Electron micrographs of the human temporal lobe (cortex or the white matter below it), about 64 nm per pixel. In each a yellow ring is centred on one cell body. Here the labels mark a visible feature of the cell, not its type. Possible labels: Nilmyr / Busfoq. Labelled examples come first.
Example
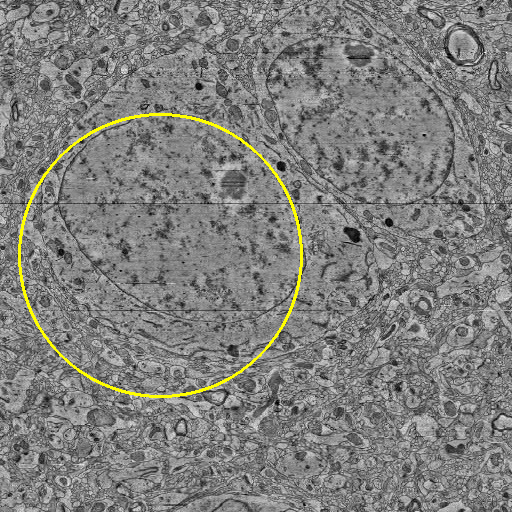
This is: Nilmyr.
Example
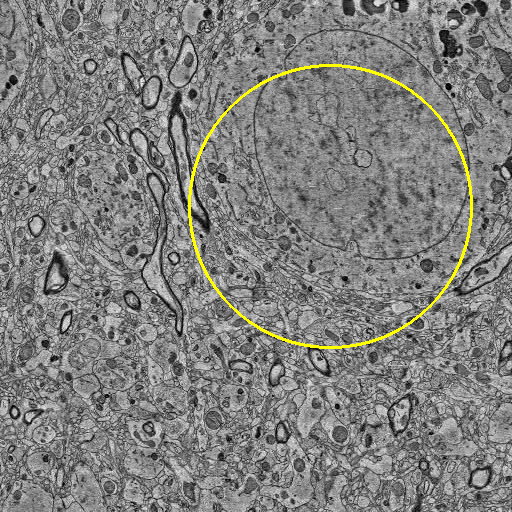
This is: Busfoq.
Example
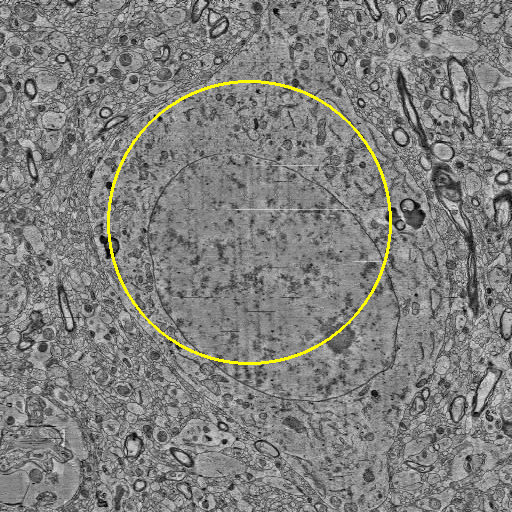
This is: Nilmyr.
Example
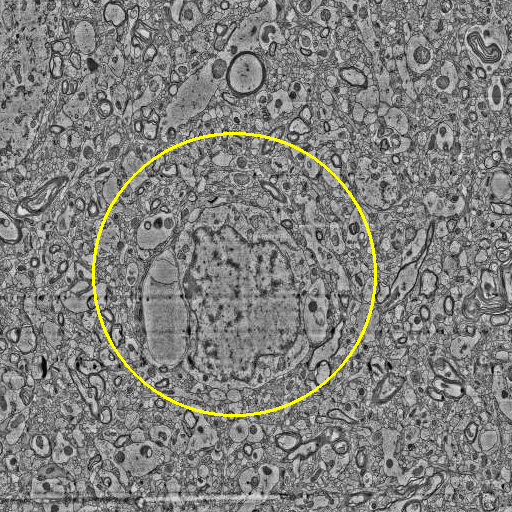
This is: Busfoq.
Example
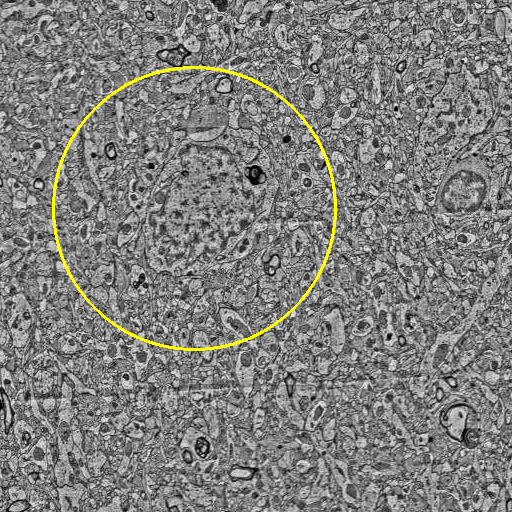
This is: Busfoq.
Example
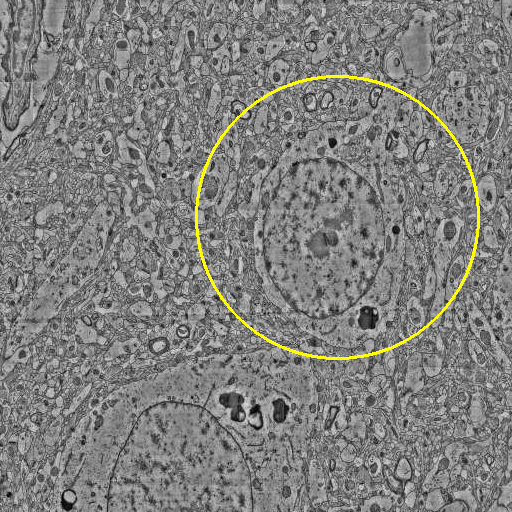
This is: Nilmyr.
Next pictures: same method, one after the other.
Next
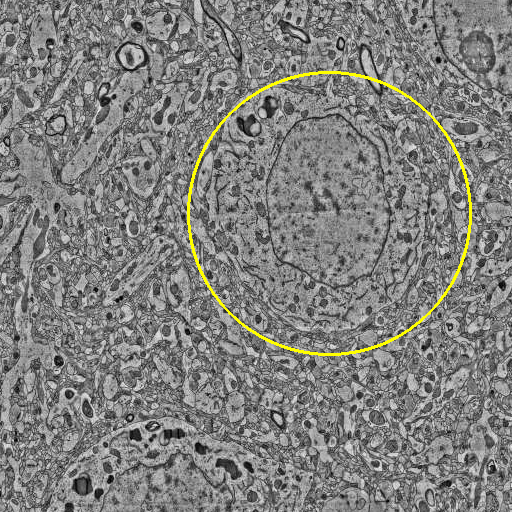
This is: Busfoq.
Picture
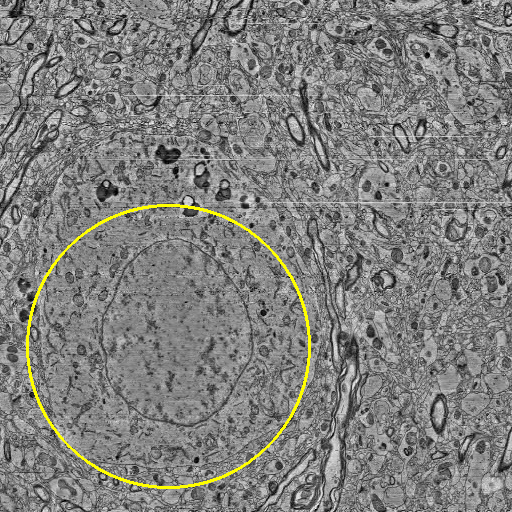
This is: Busfoq.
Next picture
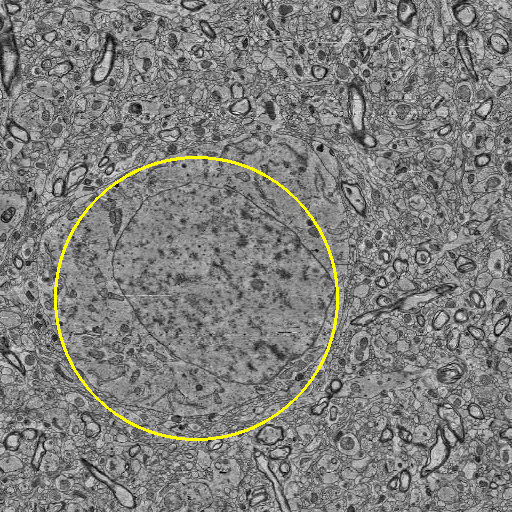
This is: Busfoq.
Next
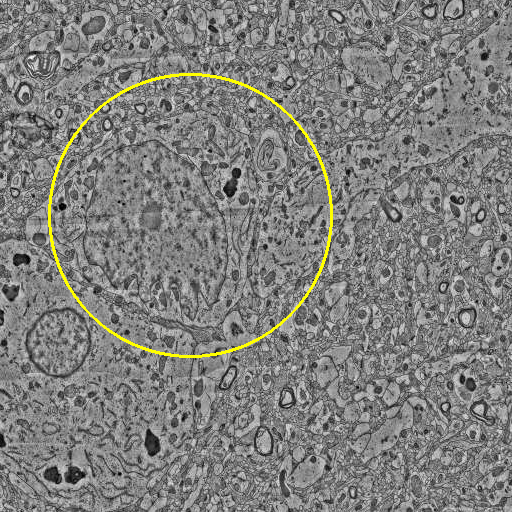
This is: Nilmyr.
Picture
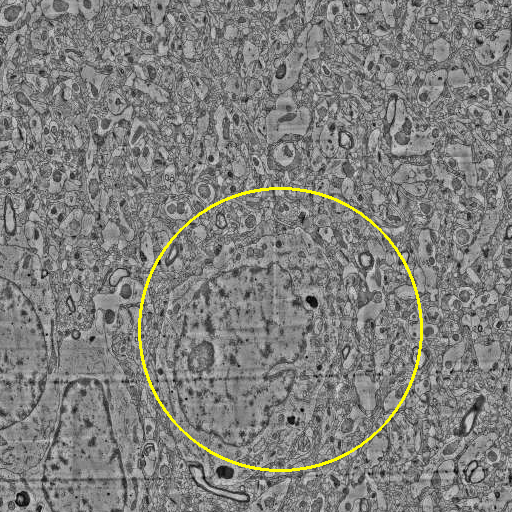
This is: Nilmyr.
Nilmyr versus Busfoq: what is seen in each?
In Nilmyr: nucleolus seen. In Busfoq: no nucleolus seen.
